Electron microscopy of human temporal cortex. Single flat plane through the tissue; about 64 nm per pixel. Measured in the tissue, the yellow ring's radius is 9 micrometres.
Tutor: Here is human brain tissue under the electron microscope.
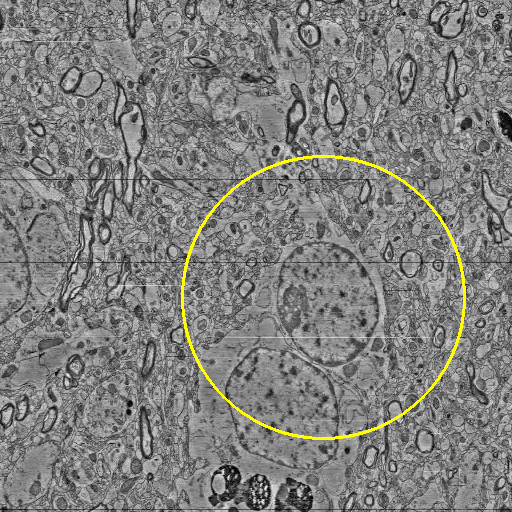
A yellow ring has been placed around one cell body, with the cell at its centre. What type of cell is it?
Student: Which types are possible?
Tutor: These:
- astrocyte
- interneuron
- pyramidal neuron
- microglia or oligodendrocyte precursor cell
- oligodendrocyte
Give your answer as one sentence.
What the ring picks out here is an astrocyte.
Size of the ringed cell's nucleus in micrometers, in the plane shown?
In this plane, about 8 micrometres in length and 6 in width.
